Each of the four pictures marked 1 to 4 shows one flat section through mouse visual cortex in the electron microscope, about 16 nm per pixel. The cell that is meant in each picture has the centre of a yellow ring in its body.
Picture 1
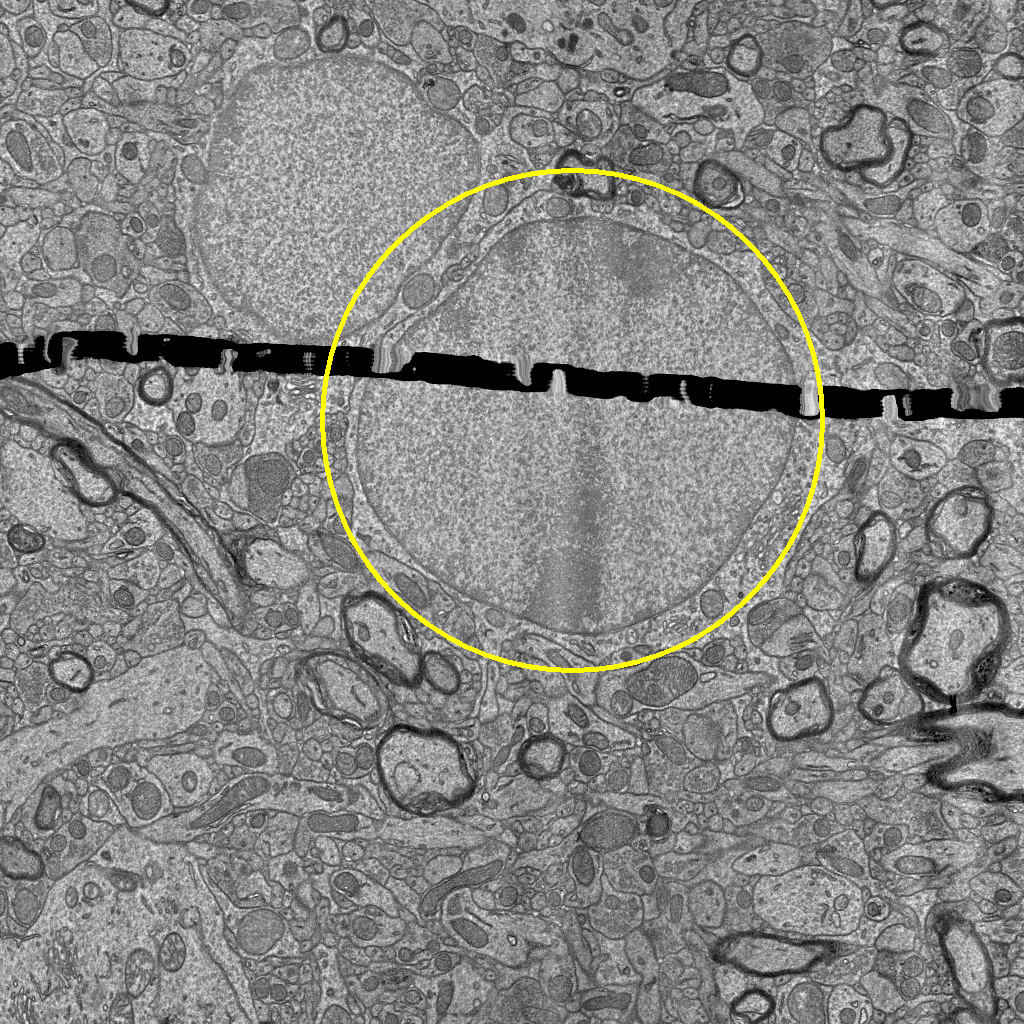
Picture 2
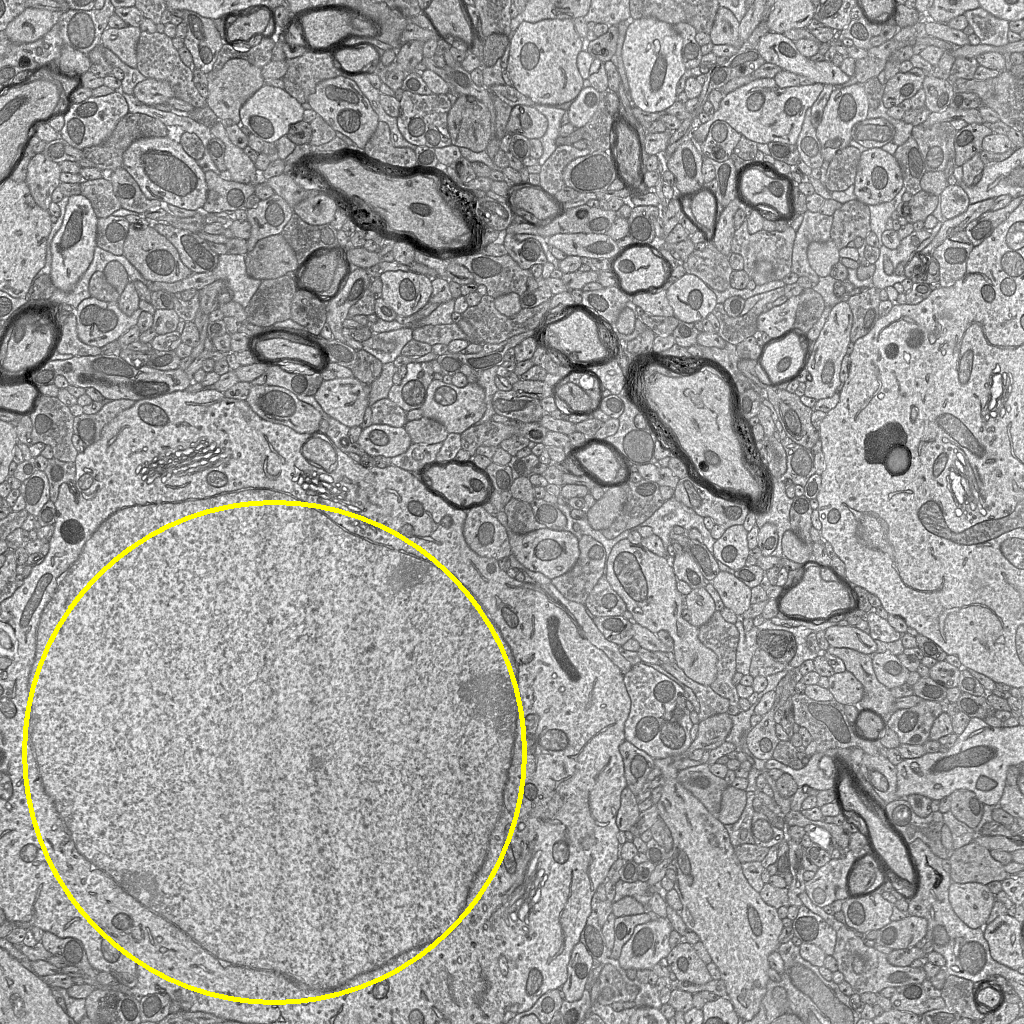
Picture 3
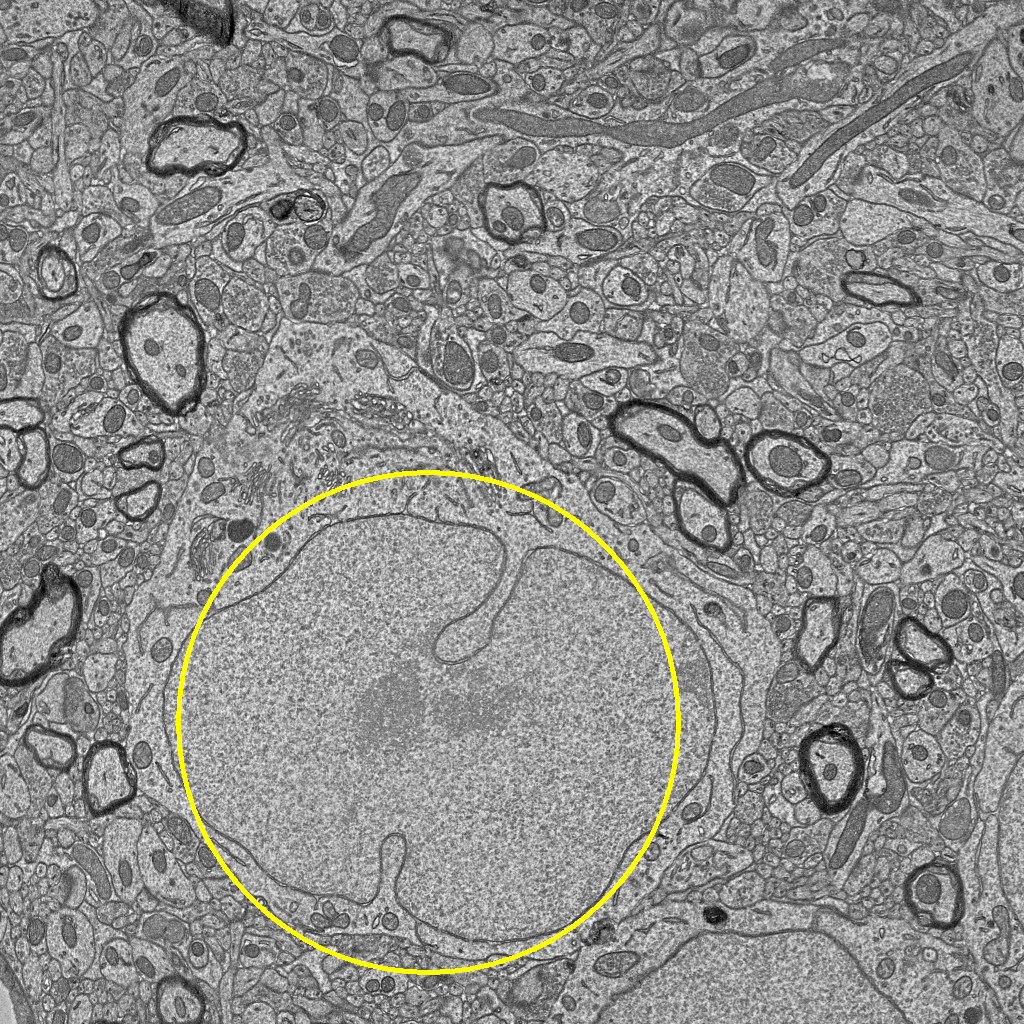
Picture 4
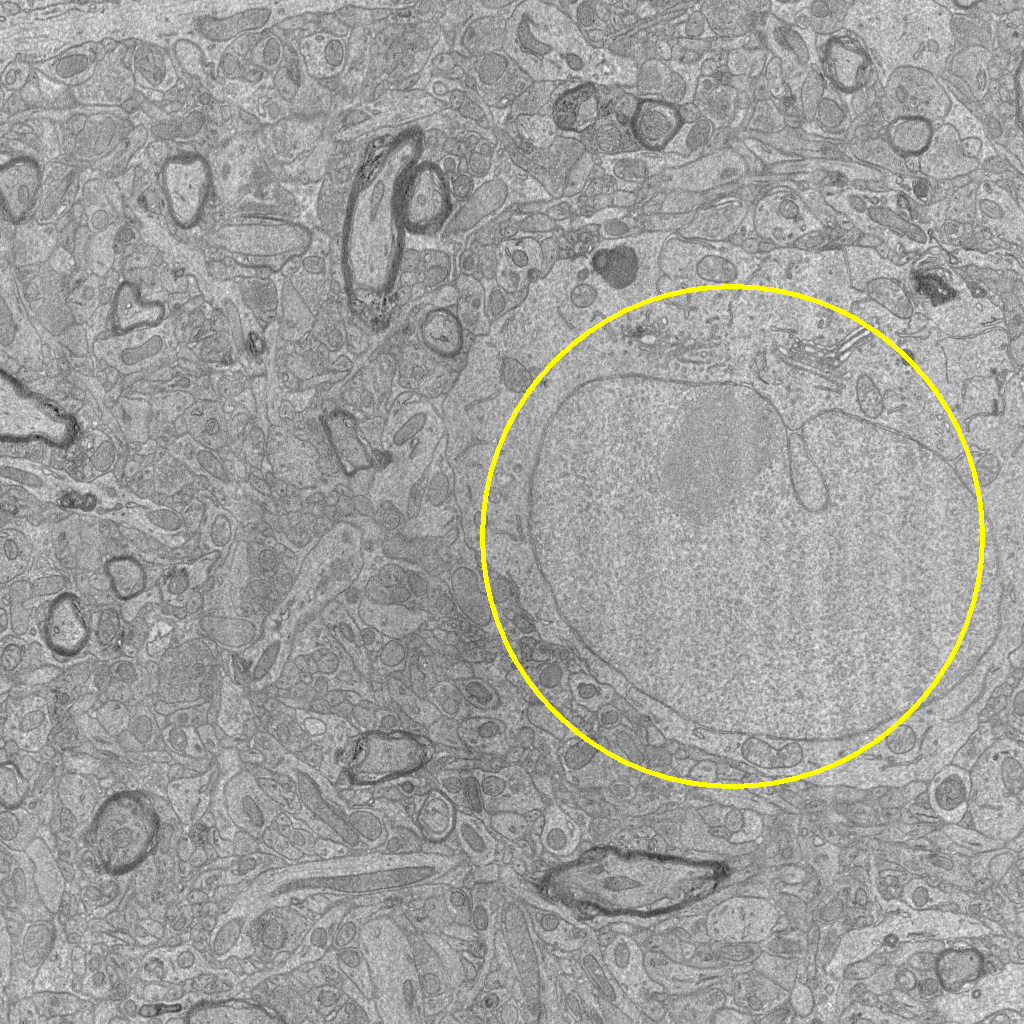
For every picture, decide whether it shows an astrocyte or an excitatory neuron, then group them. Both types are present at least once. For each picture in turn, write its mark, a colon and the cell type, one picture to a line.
1: astrocyte
2: excitatory neuron
3: excitatory neuron
4: excitatory neuron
